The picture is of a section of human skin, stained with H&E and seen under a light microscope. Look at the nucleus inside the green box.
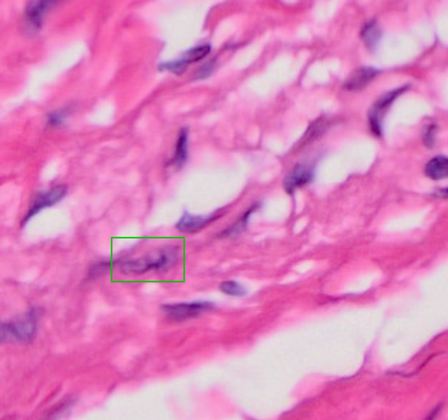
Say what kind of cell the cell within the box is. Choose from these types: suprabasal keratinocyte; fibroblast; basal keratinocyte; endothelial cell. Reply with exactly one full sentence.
Among the cells in this section, the cell within the box is an endothelial cell.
